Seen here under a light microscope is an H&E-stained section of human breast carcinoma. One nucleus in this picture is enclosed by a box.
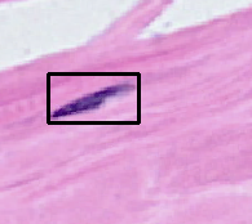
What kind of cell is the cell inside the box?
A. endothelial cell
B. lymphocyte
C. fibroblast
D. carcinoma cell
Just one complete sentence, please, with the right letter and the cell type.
The statement that the cell inside the box is a fibroblast corresponds to option C, the correct one.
